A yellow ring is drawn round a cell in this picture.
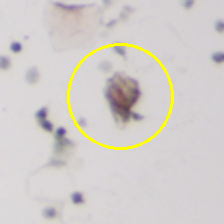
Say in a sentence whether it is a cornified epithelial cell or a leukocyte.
The cell in the ring is a cornified epithelial cell.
